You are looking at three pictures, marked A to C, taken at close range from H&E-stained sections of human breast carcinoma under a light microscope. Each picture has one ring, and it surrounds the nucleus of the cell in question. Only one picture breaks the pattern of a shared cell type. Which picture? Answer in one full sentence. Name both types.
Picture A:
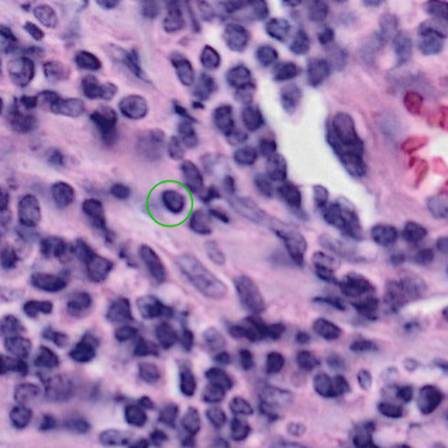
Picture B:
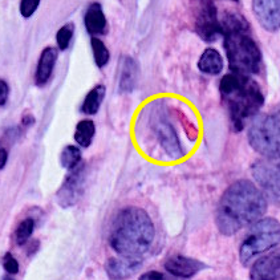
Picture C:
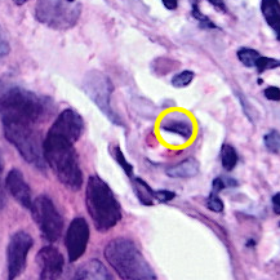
Picture A differs, because its cell is a lymphocyte and the rest are endothelial cells.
